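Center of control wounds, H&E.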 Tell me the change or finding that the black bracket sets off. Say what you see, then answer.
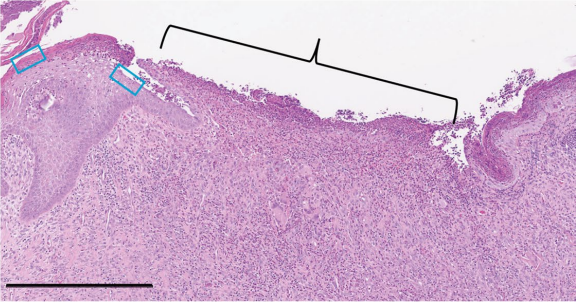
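Under the bracket the surface lacks the dense purple stratified layer seen at either side. The surface under the bracket is ragged, with loose cells and debris directly over pink dermis.
Area without epithelium.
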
